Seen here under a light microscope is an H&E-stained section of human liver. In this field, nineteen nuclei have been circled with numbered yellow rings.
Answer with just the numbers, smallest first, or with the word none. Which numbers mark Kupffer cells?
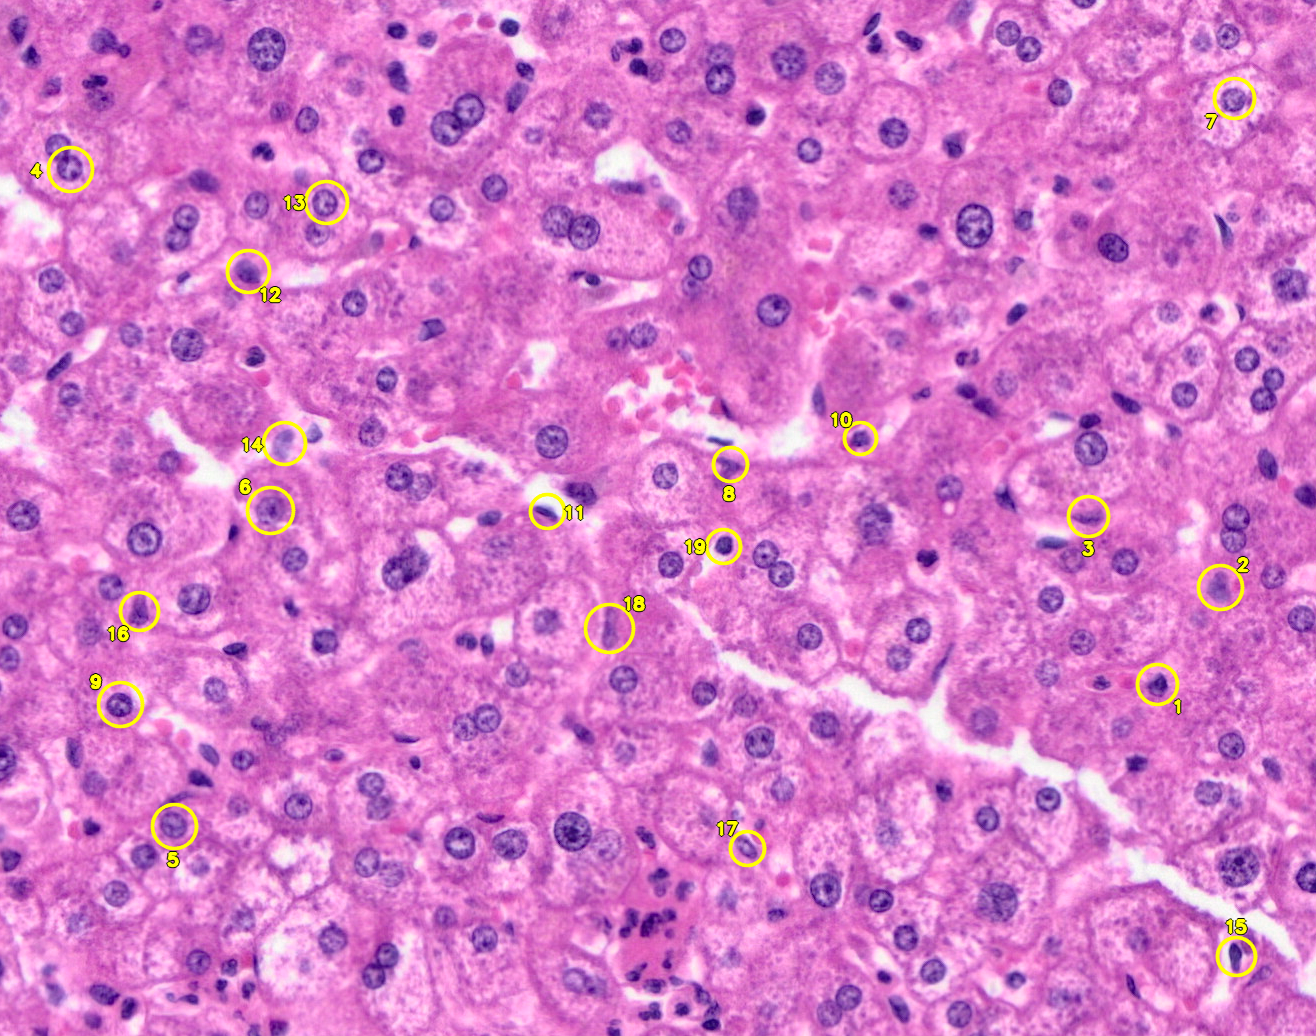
17, 18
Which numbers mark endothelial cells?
1, 2, 3, 11, 12, 14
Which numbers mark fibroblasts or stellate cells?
8, 16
